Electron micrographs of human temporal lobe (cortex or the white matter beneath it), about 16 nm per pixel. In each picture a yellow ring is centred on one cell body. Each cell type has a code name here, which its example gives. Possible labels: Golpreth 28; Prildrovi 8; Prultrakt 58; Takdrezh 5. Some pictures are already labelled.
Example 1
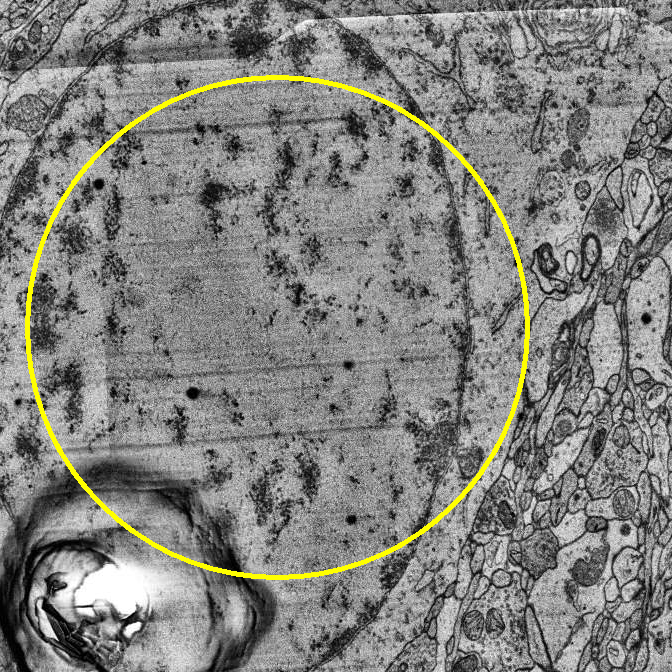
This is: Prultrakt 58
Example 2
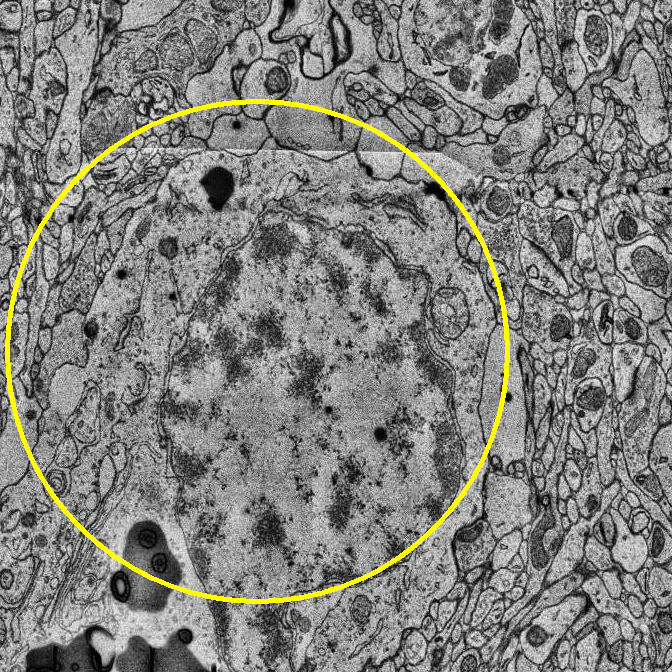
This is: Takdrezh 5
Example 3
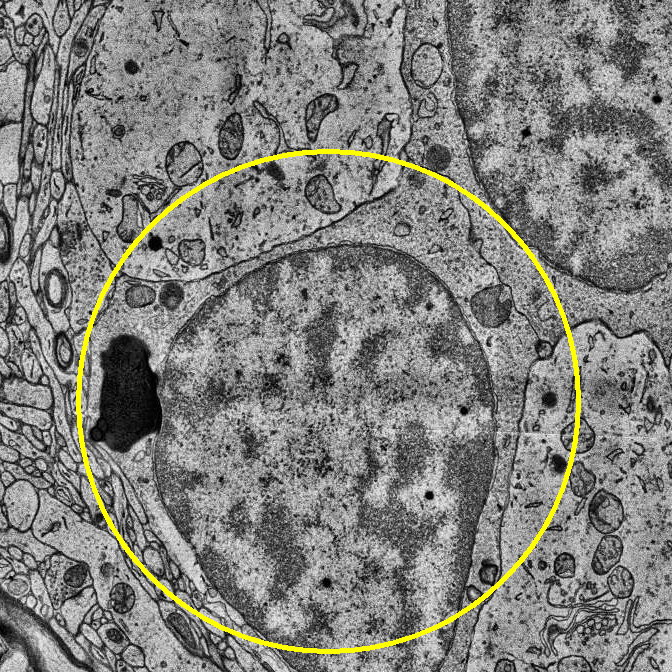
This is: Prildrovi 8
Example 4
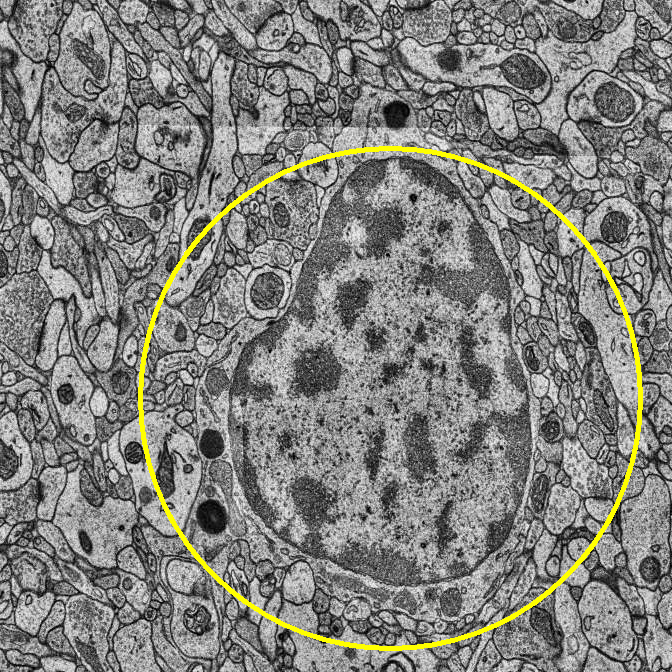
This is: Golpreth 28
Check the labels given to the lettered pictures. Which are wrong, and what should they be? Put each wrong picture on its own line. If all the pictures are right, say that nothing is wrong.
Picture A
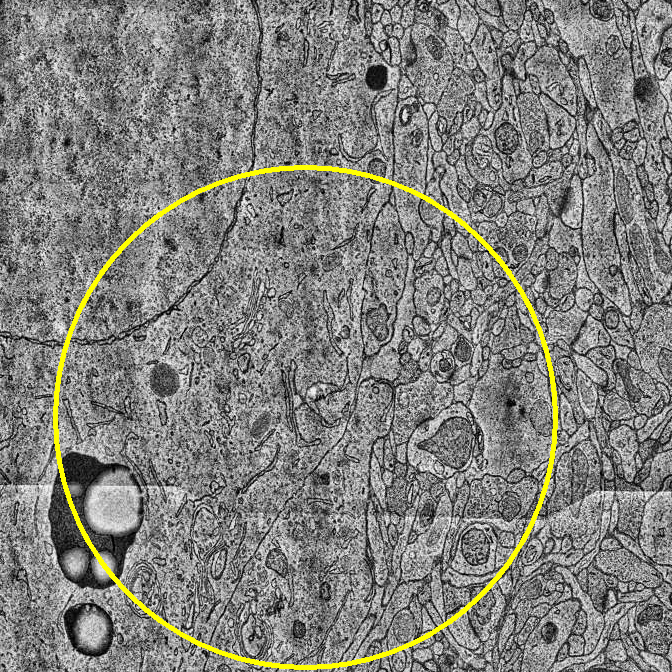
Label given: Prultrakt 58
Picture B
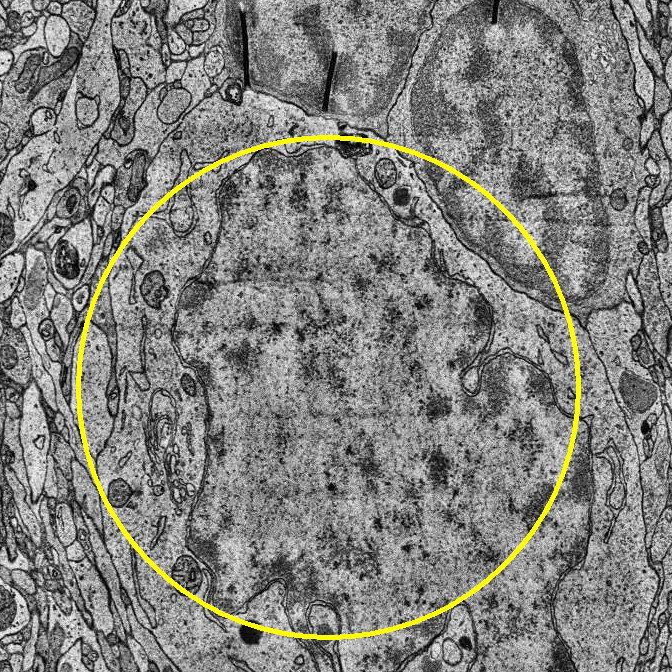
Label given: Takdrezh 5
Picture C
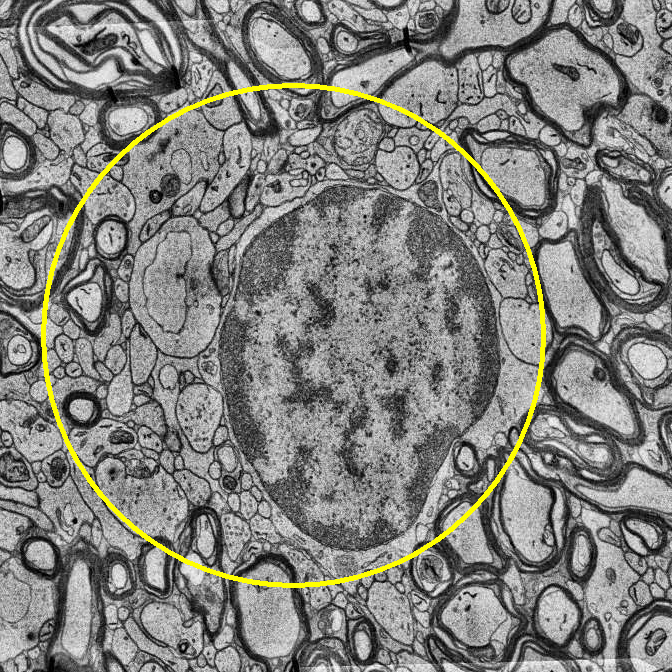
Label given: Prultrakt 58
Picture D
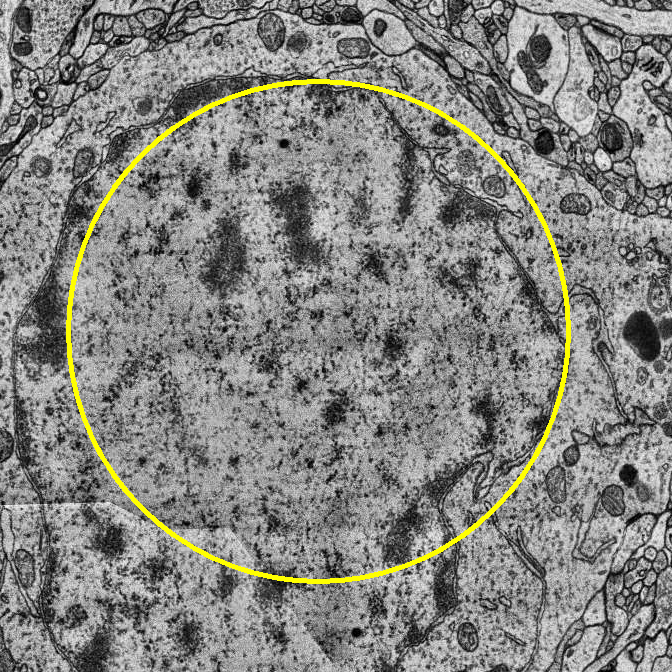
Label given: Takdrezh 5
C should be Golpreth 28, not Prultrakt 58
